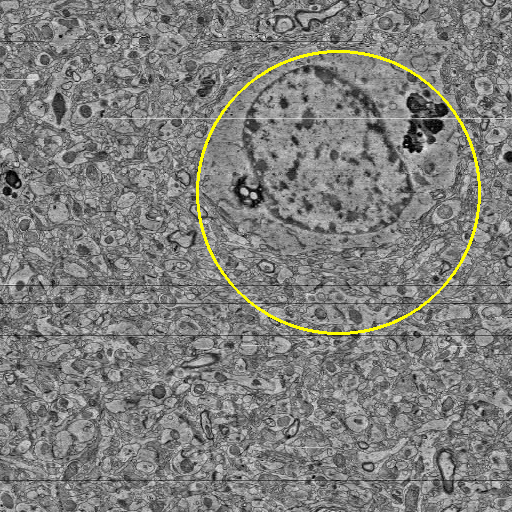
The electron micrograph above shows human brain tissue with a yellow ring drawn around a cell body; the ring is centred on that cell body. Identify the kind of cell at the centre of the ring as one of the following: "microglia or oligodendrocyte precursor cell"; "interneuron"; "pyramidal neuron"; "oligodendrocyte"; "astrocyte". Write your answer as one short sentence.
The cell at the centre of the ring is an astrocyte.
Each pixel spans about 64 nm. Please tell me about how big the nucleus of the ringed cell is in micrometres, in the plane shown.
In this plane, the nucleus of the cell at the centre of the ring measures about 12 by 9 micrometres.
